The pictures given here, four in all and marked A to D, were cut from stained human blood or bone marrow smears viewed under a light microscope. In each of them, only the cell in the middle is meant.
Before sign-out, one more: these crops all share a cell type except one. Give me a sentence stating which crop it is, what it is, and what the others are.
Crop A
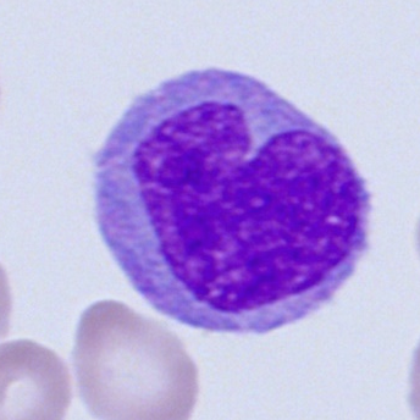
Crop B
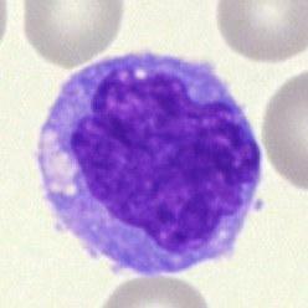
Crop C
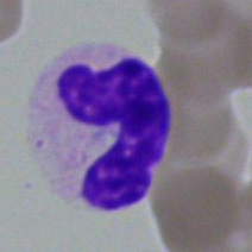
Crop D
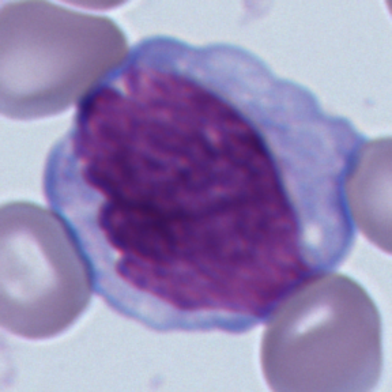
All the crops show monocytes, barring crop C, which is a band neutrophil.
